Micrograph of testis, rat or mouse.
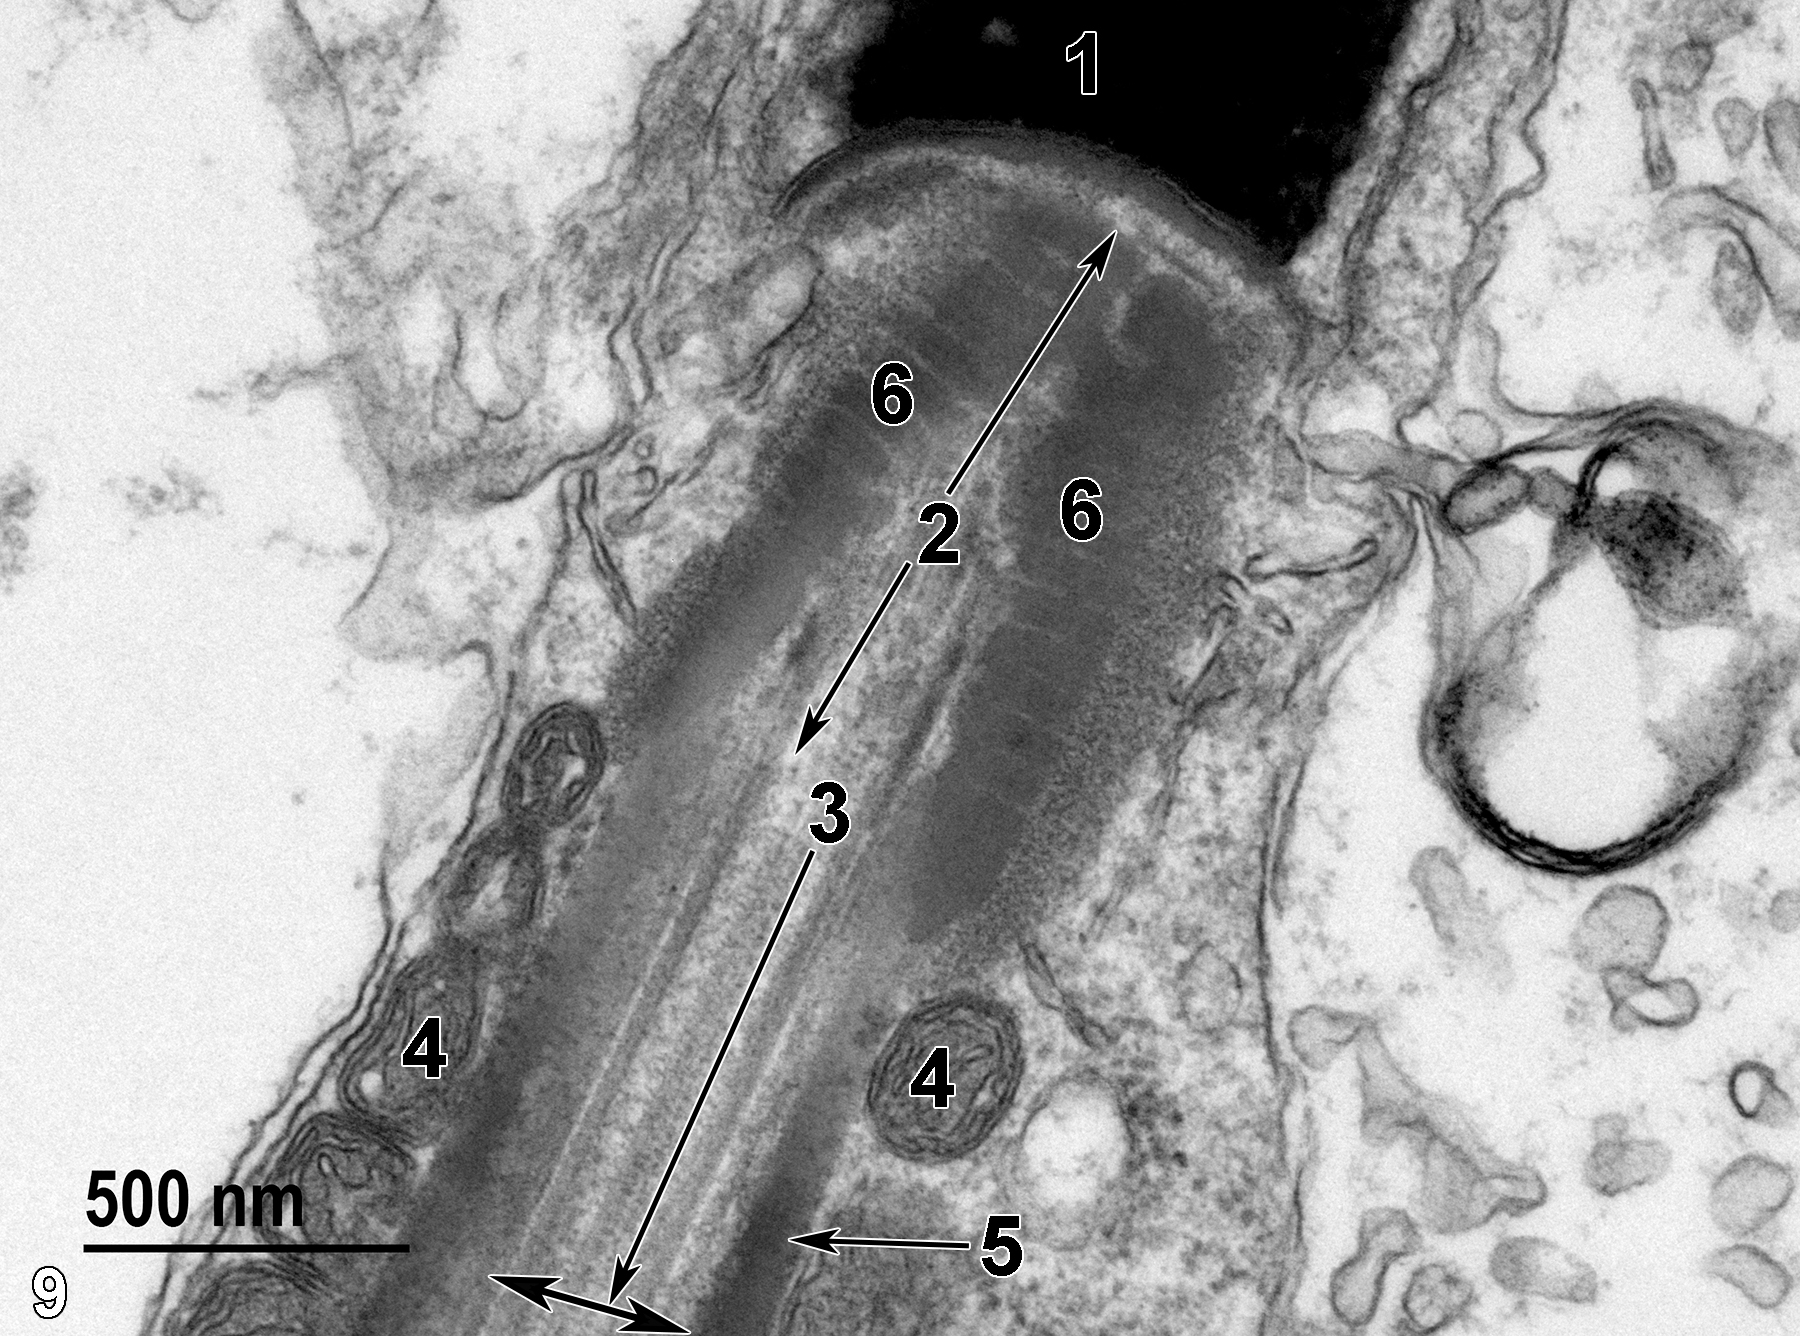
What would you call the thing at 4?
Mitochondria.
